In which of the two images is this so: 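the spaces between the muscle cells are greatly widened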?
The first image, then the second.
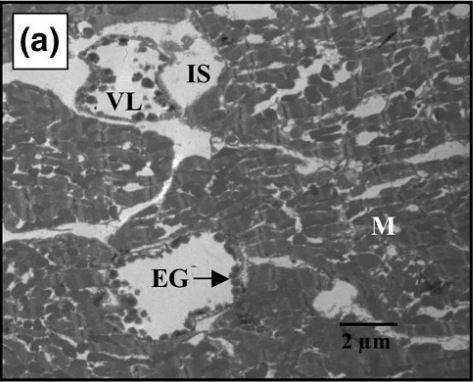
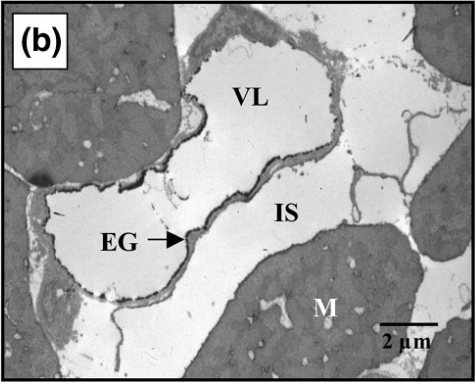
The second image.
